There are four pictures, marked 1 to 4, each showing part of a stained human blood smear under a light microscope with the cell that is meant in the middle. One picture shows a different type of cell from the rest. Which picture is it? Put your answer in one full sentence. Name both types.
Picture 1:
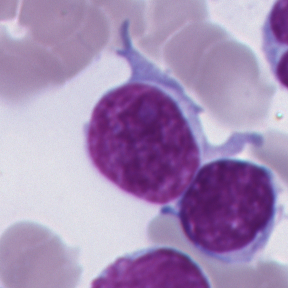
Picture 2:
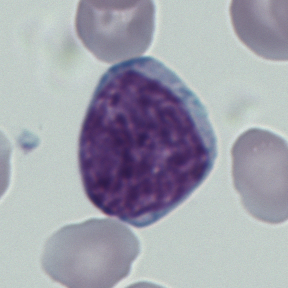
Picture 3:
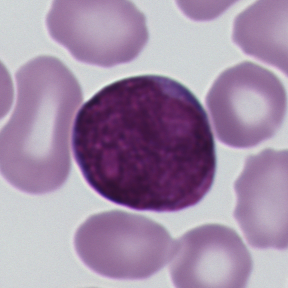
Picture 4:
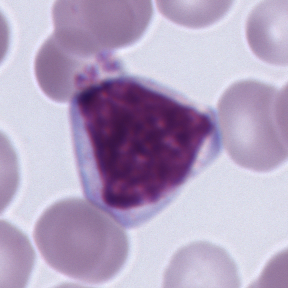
Unlike the rest, which show myeloblasts, picture 4 shows a large granular lymphocyte.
